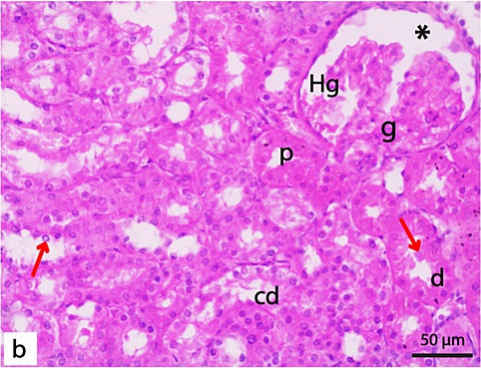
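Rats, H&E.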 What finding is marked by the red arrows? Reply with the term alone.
Desquamated cells.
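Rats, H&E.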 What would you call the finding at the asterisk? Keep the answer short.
Wide renal space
